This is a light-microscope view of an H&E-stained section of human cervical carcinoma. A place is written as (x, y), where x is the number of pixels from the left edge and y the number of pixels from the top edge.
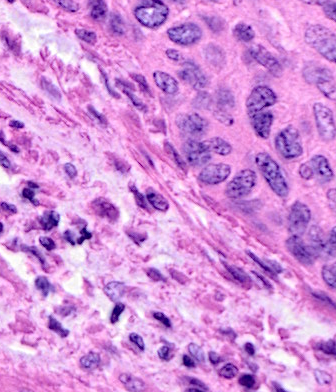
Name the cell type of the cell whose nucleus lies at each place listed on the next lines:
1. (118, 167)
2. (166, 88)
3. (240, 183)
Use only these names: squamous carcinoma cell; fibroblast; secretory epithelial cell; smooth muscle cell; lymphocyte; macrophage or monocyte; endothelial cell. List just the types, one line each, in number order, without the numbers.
fibroblast
squamous carcinoma cell
squamous carcinoma cell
